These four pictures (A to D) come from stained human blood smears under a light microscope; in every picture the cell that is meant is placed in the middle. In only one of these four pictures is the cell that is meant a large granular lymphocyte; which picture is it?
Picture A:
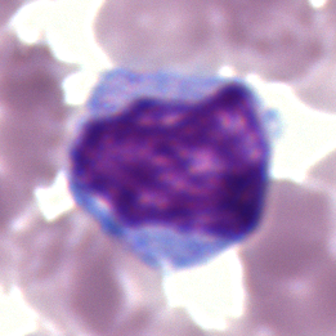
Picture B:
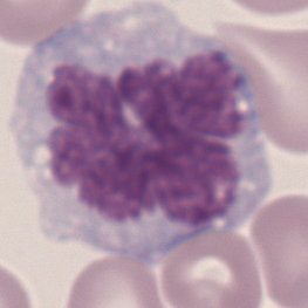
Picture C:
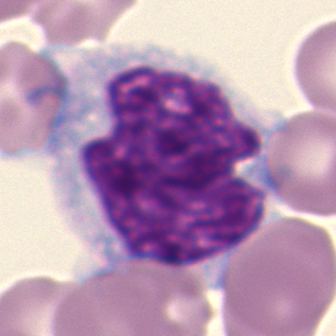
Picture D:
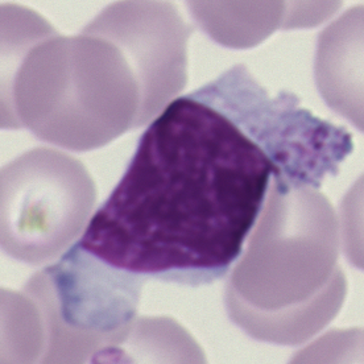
D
